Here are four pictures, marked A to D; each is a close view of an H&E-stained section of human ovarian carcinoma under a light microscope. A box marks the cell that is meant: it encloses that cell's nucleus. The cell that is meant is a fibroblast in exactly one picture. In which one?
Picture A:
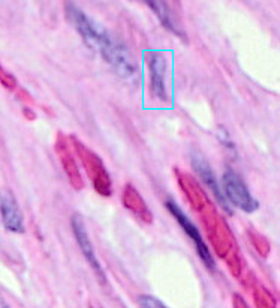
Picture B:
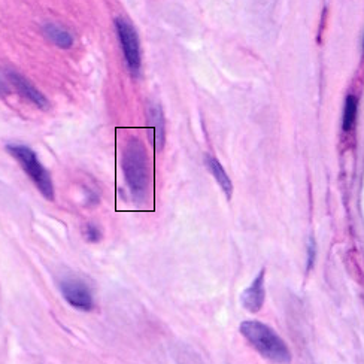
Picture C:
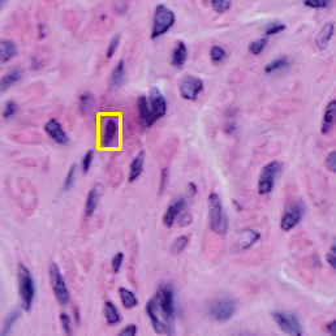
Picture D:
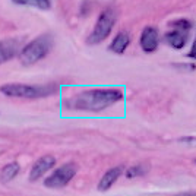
A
